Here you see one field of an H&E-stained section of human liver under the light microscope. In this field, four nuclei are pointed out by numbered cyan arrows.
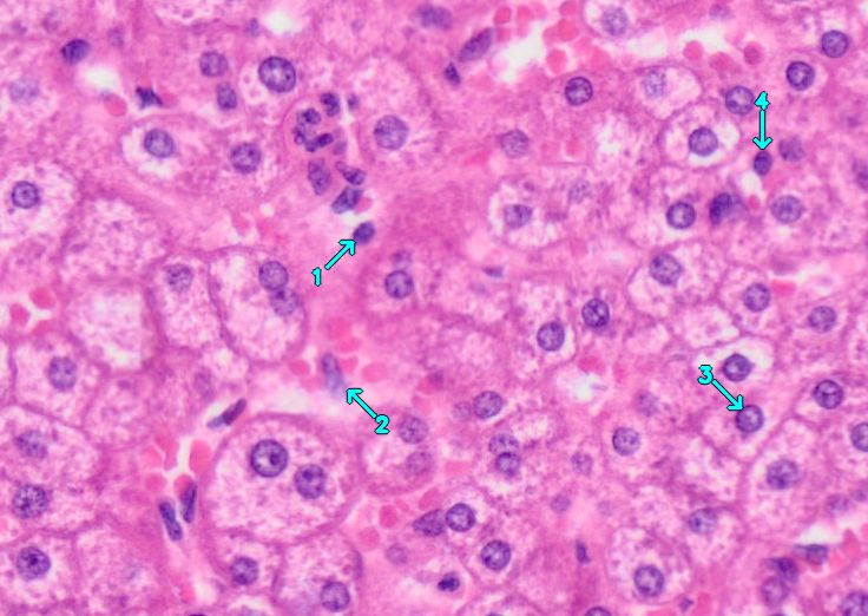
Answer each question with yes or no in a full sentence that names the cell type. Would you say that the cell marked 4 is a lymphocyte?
Yes, for number 4, the cell is a lymphocyte.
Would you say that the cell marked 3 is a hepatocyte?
Yes, the cell identified as number 3 is a hepatocyte.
